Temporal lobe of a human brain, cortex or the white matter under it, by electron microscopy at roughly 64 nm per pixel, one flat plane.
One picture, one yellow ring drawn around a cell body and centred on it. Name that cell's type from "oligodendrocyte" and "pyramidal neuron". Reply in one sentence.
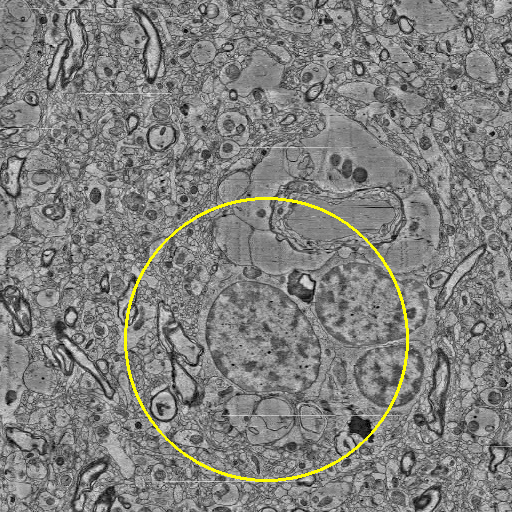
Centred in the ring is an oligodendrocyte.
